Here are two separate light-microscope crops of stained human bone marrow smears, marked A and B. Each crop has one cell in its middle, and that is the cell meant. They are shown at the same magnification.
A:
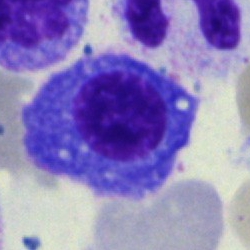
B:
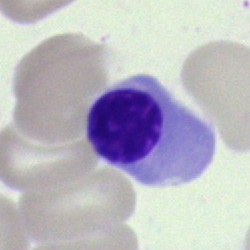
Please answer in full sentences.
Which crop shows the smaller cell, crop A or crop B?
Smaller is the cell in crop B, and the other is about 2 times as large in area.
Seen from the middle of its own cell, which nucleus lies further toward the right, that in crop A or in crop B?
It is the nucleus in crop A that lies further toward the right of its cell.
